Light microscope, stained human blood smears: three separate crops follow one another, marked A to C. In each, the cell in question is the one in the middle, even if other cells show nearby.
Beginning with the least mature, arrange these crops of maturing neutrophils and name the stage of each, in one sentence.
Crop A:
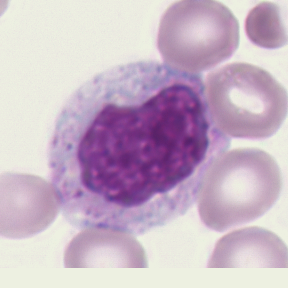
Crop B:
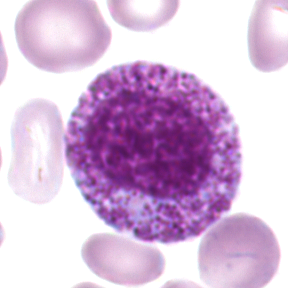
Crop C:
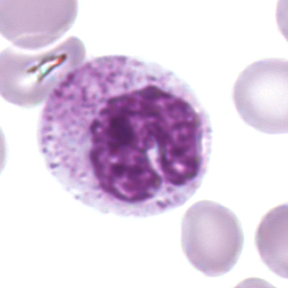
By increasing maturity, the order is crop B (a myelocyte), crop A (a metamyelocyte) and crop C (a band neutrophil).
